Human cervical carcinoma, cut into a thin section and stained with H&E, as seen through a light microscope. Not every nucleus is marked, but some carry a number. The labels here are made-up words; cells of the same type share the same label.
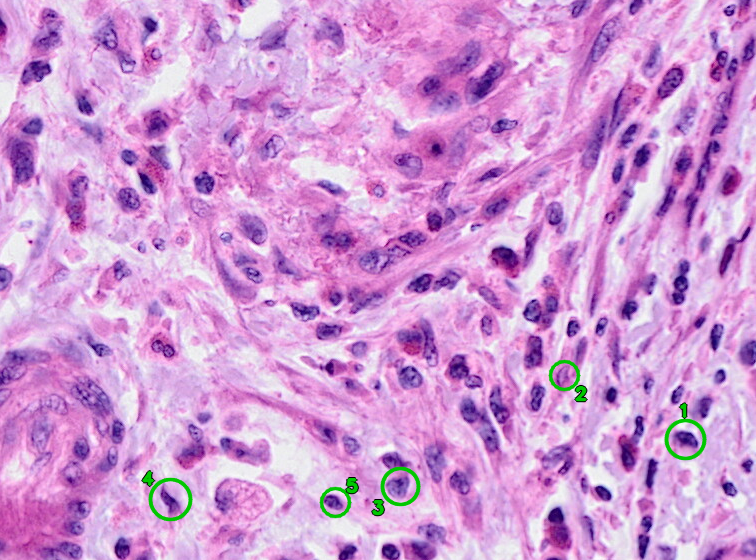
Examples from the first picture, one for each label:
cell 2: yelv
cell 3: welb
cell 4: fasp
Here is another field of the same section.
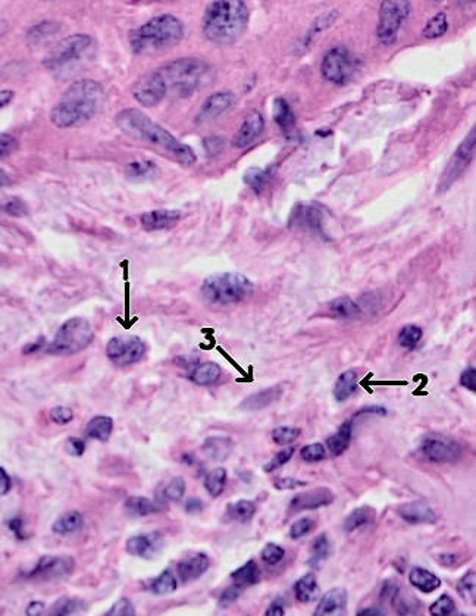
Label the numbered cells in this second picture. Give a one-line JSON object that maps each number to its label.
{"1": "yelv", "2": "welb", "3": "fasp"}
